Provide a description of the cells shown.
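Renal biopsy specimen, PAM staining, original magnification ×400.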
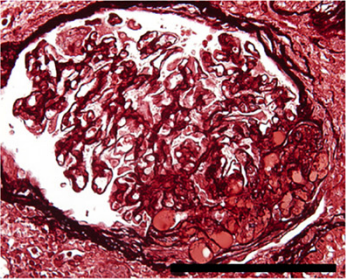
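In the upper part of the tuft the loops are still open and their outlines can be followed one by one. The lower part of the tuft is collapsed and solid, with the loops pressed together. A clear space remains between the tuft and the dark-lined capsule.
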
